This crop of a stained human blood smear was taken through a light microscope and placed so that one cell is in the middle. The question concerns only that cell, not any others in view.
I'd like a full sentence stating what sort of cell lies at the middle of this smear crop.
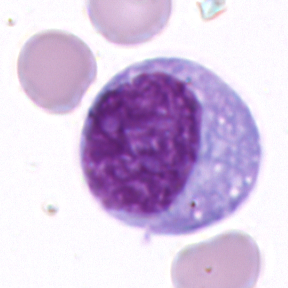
The central element of this crop is a cell, namely a plasma cell.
